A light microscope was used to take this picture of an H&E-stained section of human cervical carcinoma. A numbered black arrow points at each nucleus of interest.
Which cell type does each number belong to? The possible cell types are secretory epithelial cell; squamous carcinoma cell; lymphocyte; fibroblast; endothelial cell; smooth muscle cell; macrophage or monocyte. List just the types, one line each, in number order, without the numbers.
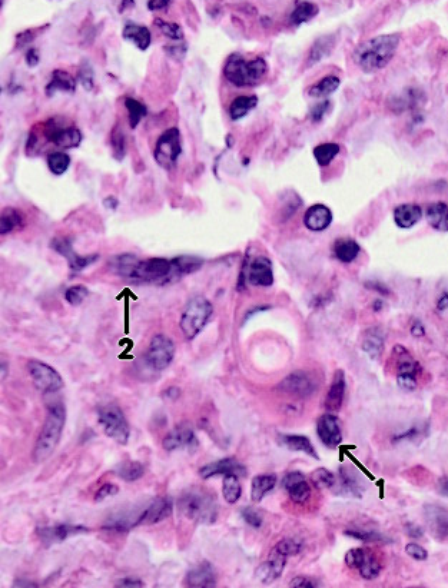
lymphocyte
macrophage or monocyte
